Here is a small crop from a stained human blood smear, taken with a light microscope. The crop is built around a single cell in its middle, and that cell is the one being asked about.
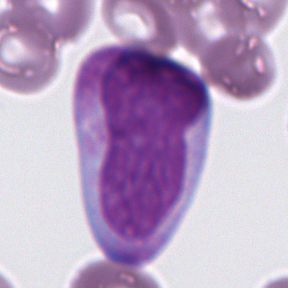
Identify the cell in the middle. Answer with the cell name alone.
atypical promyelocyte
